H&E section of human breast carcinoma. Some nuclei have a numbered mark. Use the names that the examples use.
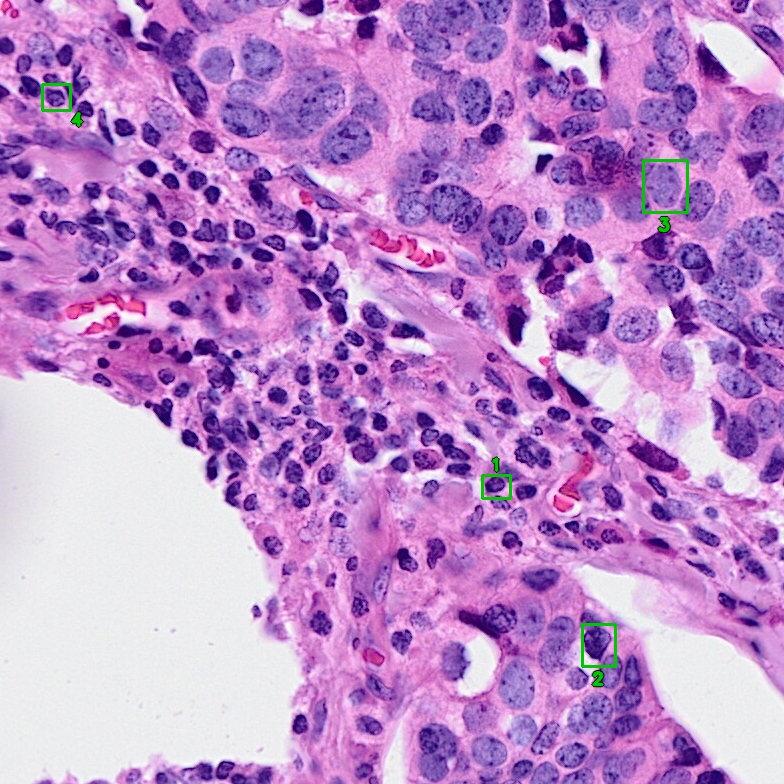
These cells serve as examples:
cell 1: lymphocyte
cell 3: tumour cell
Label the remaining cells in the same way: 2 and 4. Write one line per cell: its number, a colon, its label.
2: tumour cell
4: lymphocyte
